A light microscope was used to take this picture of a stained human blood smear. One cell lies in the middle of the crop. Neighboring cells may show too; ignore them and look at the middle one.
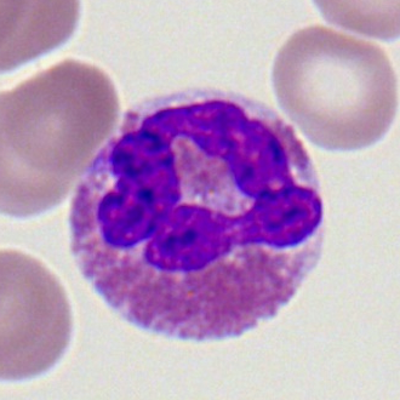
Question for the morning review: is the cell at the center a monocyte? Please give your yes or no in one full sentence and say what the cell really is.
No, in this crop the central cell is an eosinophil instead of a monocyte.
